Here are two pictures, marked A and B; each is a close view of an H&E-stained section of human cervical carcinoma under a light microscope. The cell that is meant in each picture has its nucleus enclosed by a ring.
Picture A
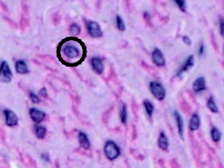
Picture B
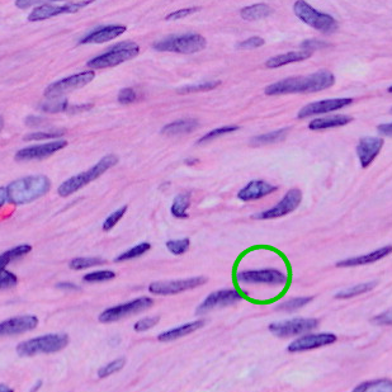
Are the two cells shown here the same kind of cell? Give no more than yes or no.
no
